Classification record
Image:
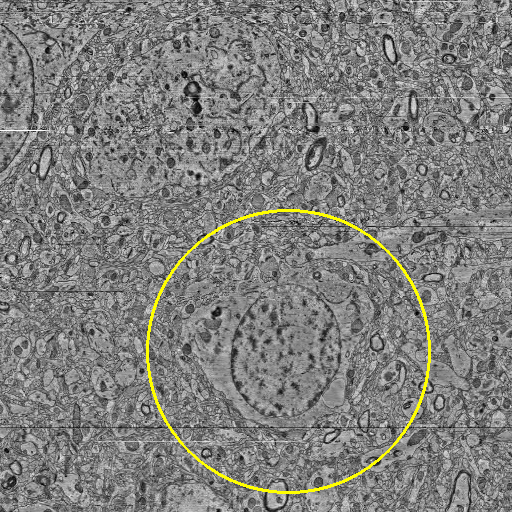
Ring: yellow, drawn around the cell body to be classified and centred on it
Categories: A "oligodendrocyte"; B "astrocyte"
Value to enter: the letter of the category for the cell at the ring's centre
B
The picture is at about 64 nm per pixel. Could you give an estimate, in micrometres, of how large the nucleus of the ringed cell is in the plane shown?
The nucleus of the ringed cell is approximately 9 by 7 micrometres in this plane.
